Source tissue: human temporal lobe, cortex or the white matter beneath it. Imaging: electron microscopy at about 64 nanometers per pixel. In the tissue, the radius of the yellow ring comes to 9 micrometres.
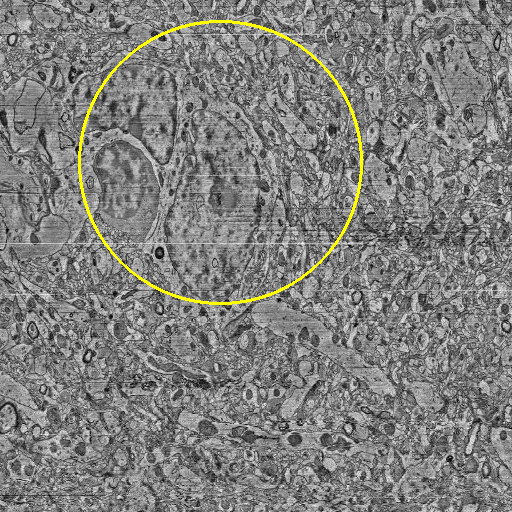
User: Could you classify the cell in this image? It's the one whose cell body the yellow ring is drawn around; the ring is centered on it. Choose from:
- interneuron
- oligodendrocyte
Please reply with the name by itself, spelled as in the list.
interneuron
